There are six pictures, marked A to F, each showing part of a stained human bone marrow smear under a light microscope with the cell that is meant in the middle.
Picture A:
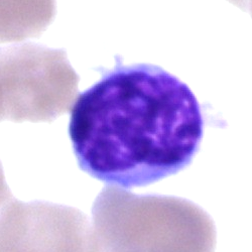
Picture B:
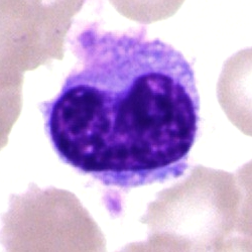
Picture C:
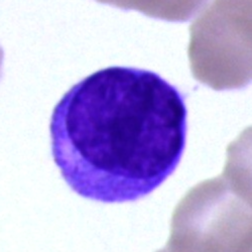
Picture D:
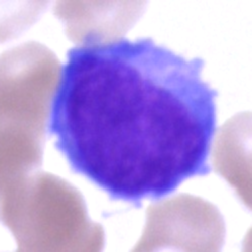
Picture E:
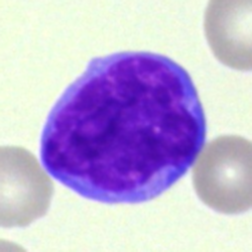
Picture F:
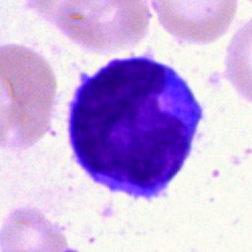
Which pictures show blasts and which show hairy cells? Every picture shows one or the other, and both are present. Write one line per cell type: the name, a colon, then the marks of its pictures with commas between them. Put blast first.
blast: C, D, E, F
hairy cell: A, B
